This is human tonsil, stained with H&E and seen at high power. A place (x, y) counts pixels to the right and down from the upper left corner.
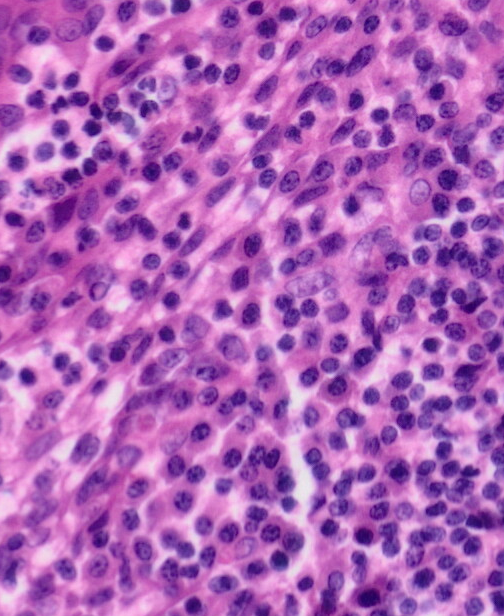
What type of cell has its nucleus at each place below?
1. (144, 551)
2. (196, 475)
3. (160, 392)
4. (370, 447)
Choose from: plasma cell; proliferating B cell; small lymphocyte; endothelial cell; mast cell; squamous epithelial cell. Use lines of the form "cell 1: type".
cell 1: plasma cell
cell 2: plasma cell
cell 3: squamous epithelial cell
cell 4: plasma cell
